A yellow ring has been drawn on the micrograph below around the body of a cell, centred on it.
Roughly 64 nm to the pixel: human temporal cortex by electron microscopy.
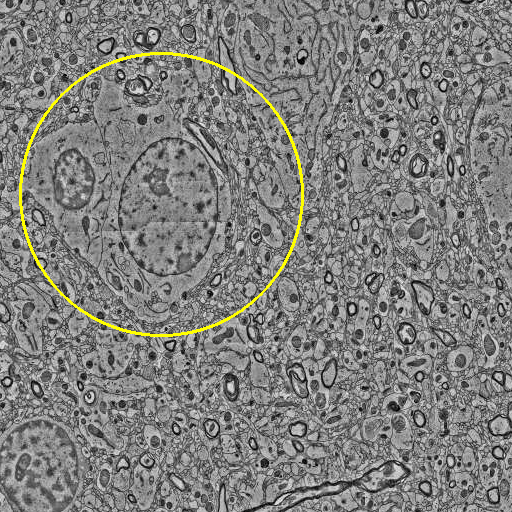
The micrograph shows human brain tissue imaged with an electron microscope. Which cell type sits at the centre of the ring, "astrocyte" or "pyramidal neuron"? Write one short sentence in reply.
The cell sitting at the centre of the ring is an astrocyte.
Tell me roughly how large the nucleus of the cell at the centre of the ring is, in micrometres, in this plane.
The nucleus has a long axis of about 9 micrometres and a short axis of about 6 micrometres in this plane.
